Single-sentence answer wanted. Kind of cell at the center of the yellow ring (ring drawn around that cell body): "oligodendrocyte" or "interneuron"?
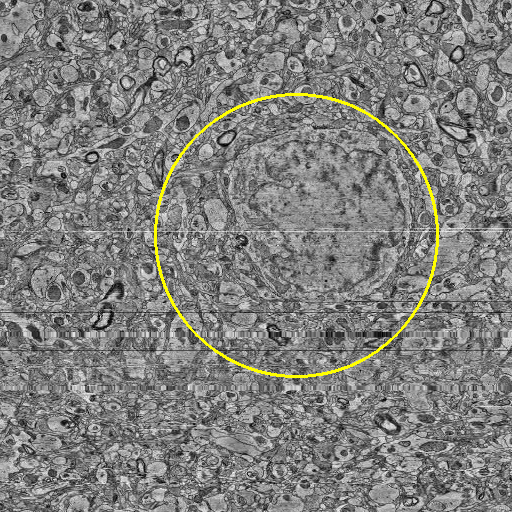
The cell centered in the ring is an interneuron.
